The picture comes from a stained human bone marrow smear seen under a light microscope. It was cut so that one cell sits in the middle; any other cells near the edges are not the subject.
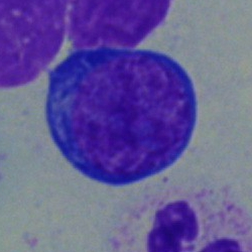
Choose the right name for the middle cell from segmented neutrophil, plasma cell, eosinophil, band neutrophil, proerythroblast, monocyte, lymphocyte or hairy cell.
proerythroblast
